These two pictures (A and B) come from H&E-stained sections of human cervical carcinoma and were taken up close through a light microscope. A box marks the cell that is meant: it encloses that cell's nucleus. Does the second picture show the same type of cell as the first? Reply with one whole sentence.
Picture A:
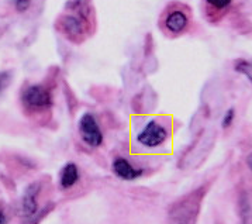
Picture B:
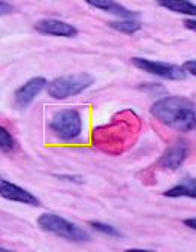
No. Picture A shows a lymphocyte, but picture B shows an endothelial cell.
